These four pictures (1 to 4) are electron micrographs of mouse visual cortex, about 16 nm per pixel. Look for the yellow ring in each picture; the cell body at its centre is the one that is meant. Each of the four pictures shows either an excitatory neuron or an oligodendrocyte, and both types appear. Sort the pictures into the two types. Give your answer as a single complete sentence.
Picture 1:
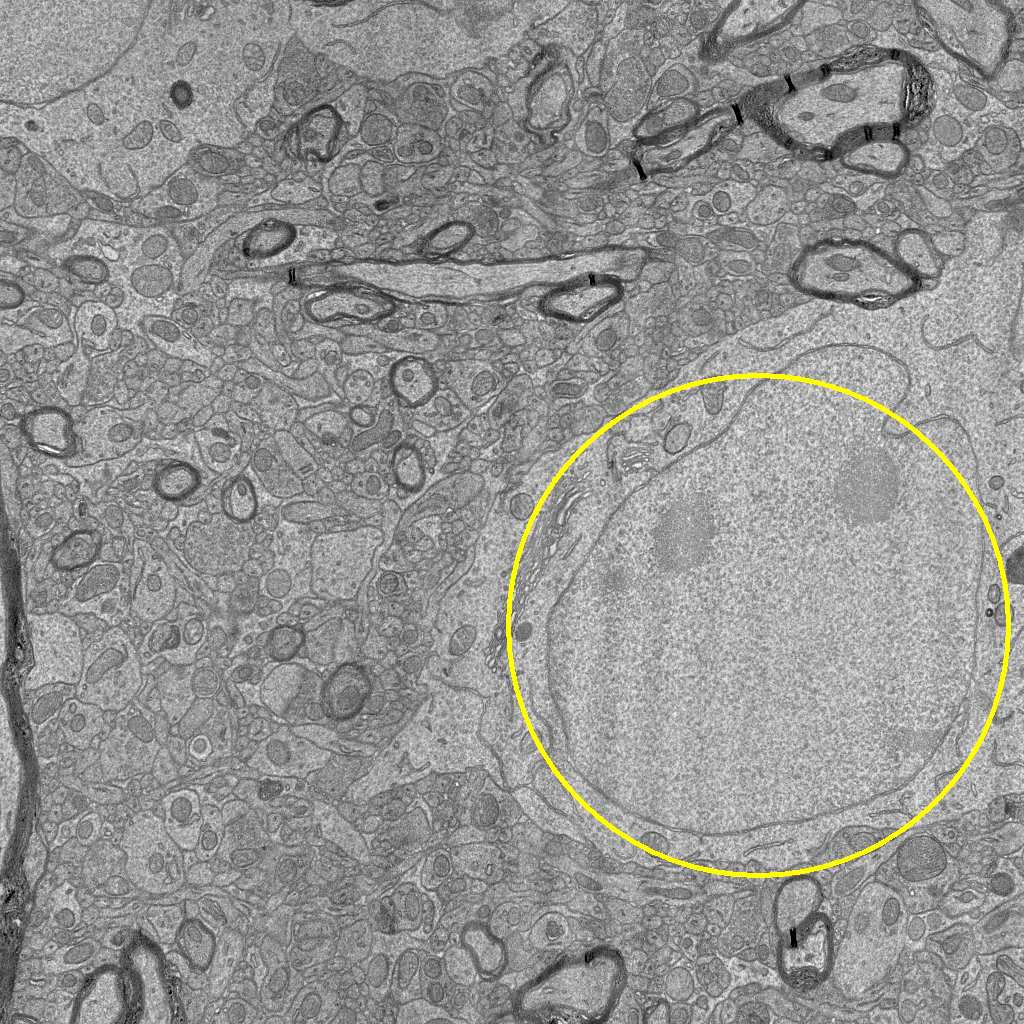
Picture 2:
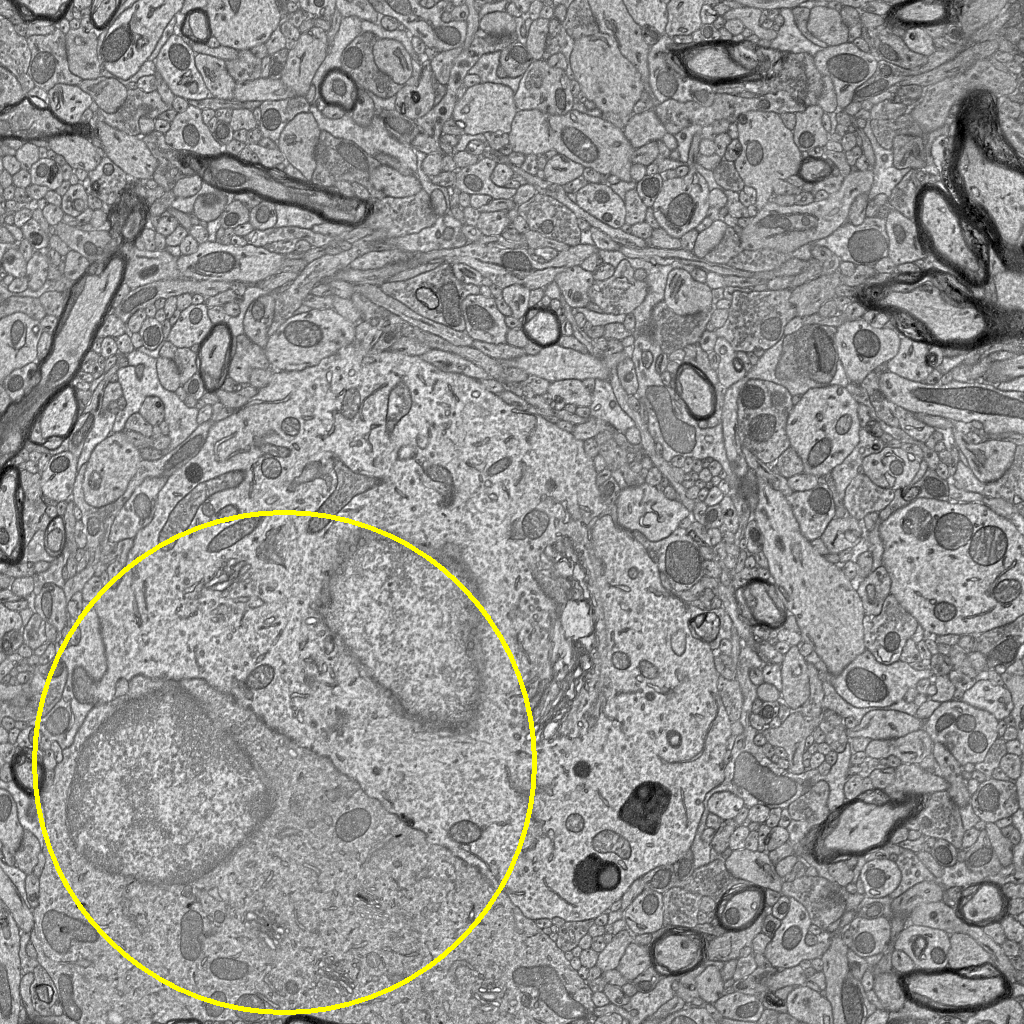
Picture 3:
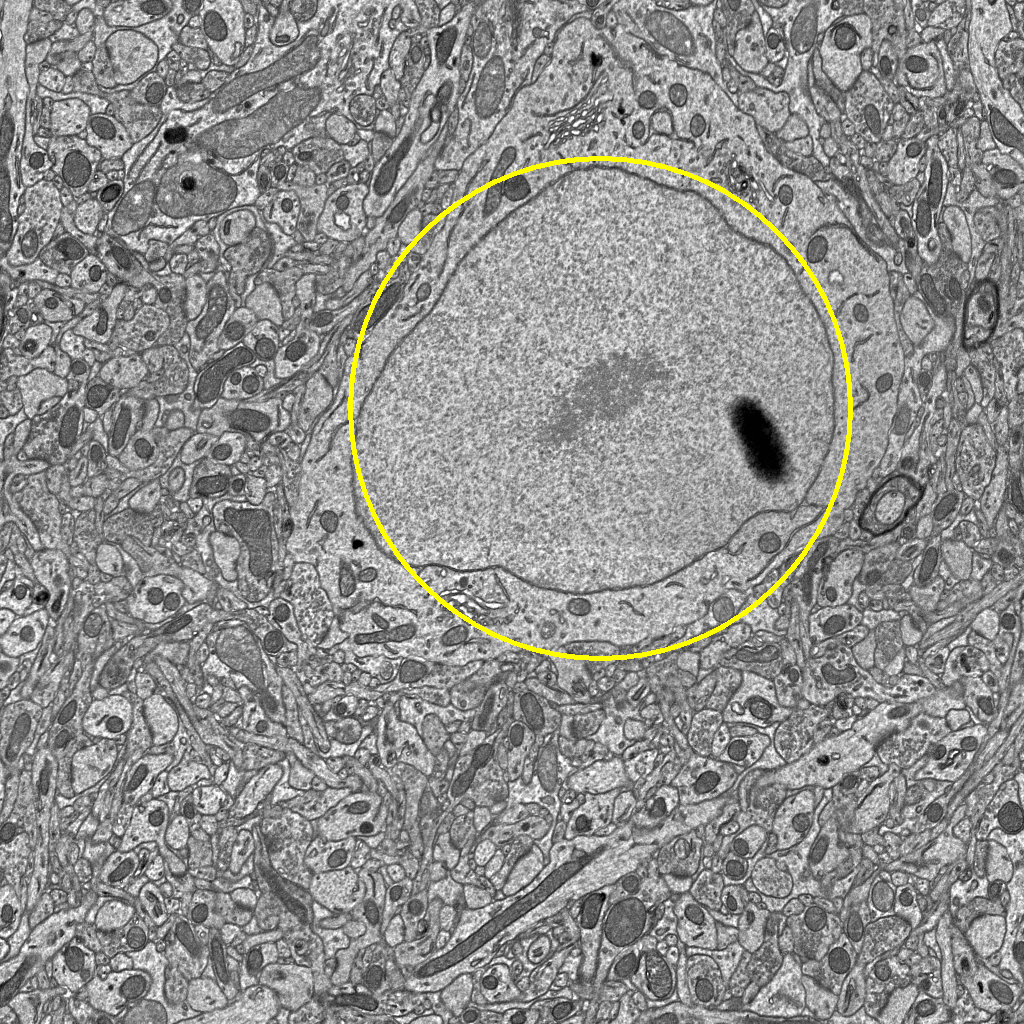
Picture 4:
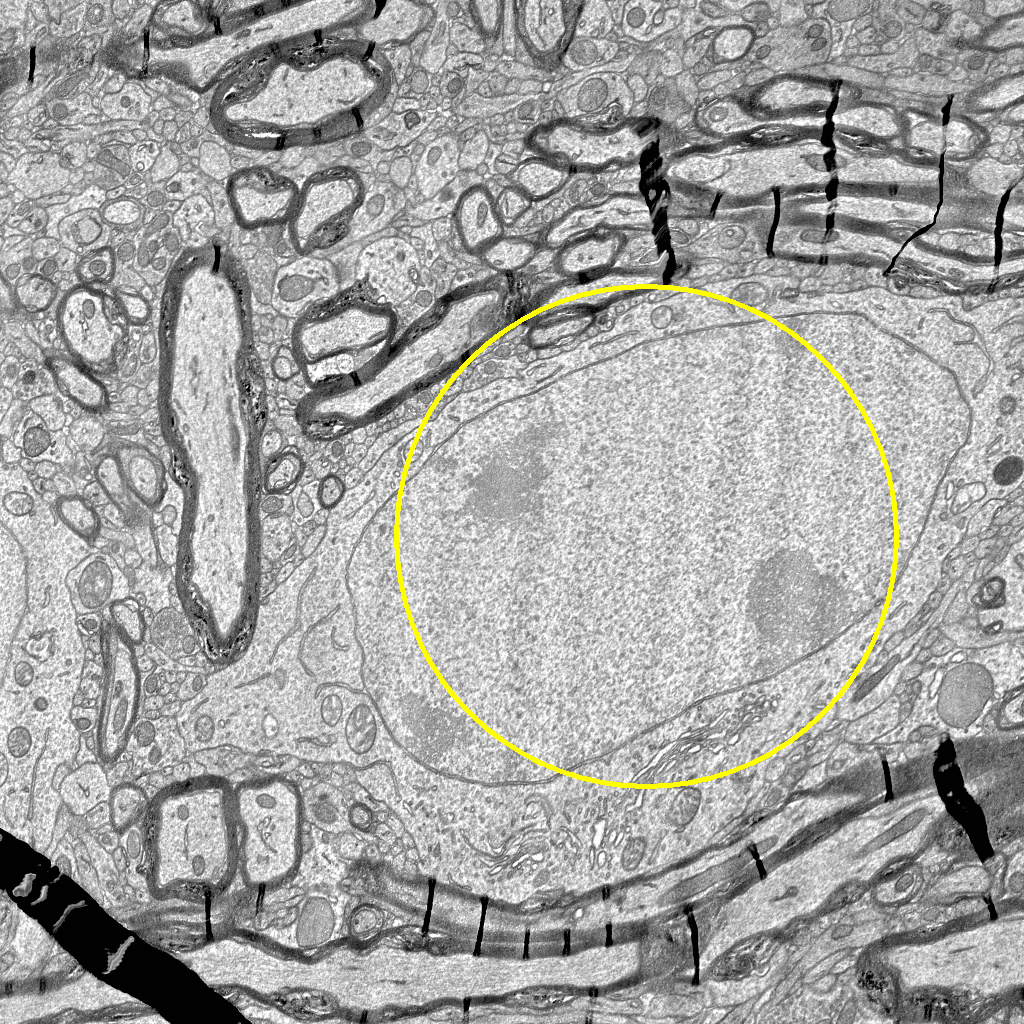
Pictures 1, 3 and 4 show excitatory neurons, while picture 2 shows an oligodendrocyte.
